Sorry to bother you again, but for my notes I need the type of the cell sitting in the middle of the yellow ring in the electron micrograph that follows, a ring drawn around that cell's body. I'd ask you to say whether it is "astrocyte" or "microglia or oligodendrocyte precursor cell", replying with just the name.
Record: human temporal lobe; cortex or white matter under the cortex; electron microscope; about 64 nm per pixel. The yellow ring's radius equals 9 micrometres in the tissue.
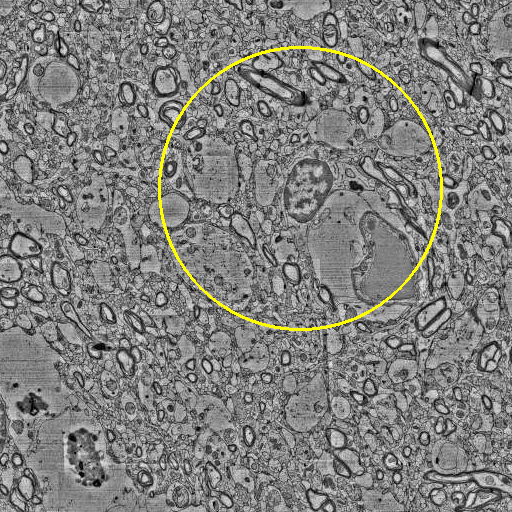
microglia or oligodendrocyte precursor cell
